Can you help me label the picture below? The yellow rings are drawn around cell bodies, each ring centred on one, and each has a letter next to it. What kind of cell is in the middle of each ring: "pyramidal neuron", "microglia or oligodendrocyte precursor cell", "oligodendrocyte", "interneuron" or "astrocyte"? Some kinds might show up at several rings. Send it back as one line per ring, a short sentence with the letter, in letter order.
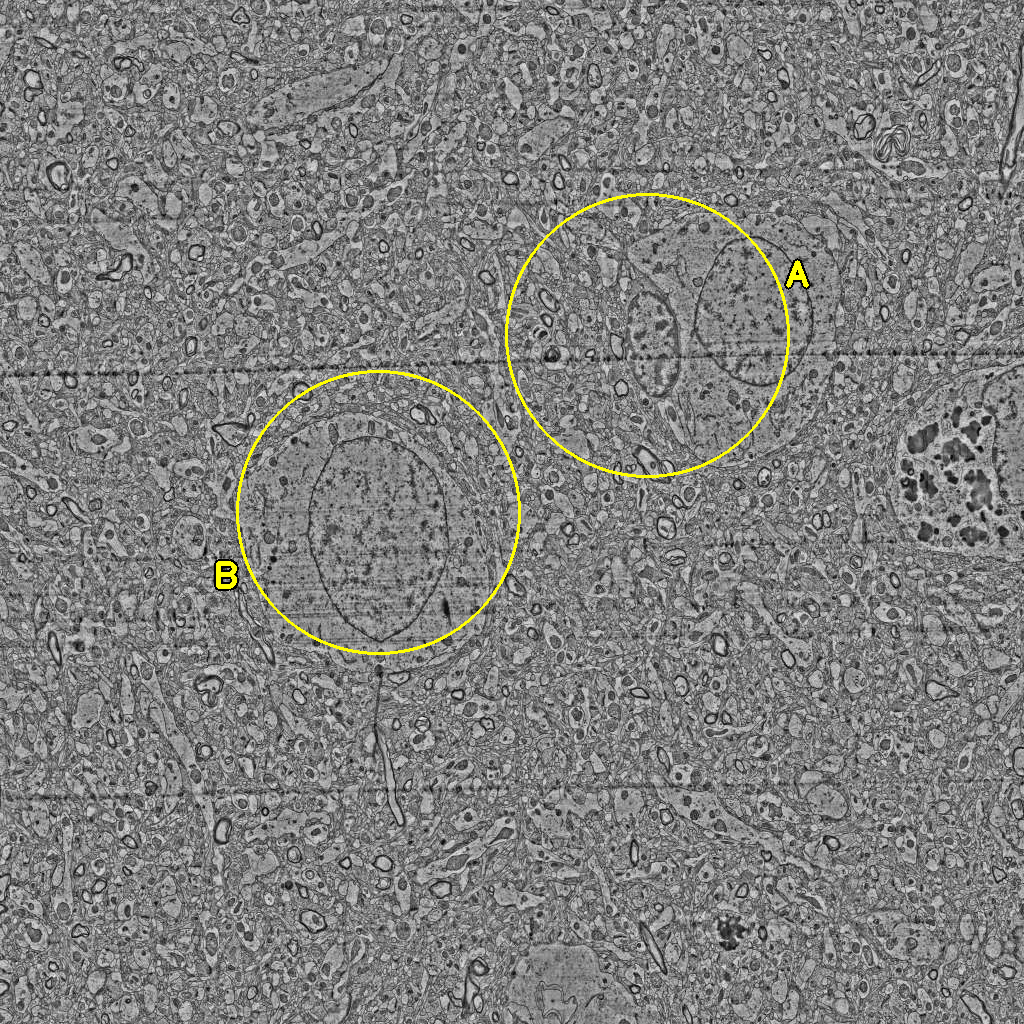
Ring A has an oligodendrocyte in the middle.
Ring B has a pyramidal neuron in the middle.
